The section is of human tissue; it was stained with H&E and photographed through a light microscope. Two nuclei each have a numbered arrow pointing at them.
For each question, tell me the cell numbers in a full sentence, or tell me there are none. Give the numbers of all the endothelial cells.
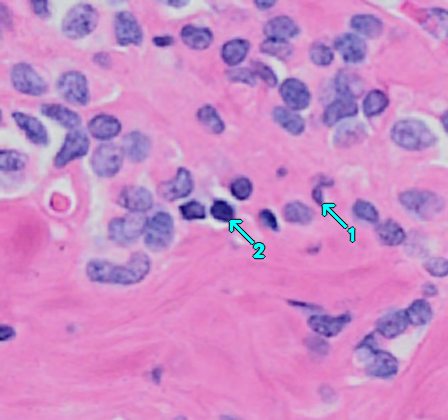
Only the cell marked 1 is an endothelial cell.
